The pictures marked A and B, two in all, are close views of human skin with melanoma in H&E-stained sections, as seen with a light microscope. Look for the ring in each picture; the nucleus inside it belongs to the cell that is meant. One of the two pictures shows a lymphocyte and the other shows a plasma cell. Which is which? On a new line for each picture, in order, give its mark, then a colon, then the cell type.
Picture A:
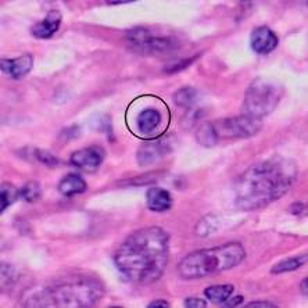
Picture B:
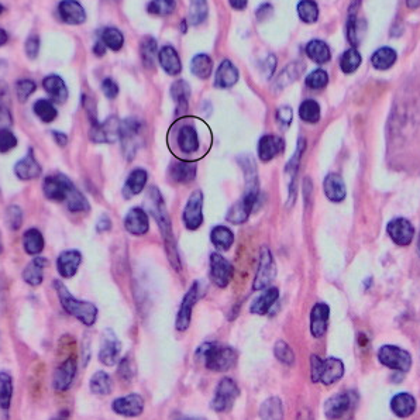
A: lymphocyte
B: plasma cell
